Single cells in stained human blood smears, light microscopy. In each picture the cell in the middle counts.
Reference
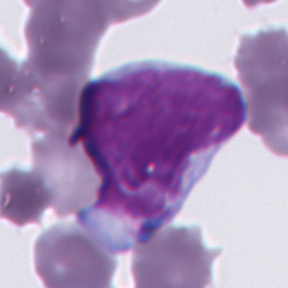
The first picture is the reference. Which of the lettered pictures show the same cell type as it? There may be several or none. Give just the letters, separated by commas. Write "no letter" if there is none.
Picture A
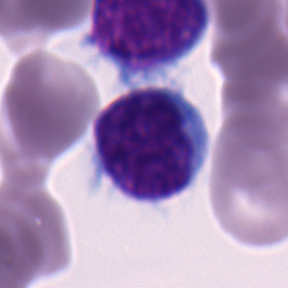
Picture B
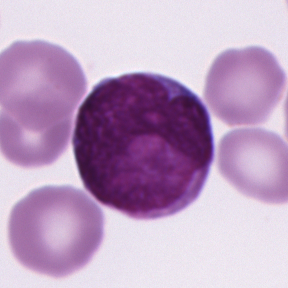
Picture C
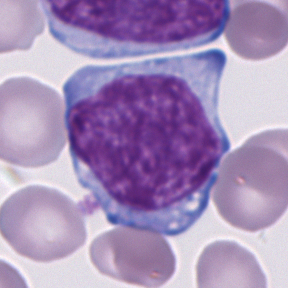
B, C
